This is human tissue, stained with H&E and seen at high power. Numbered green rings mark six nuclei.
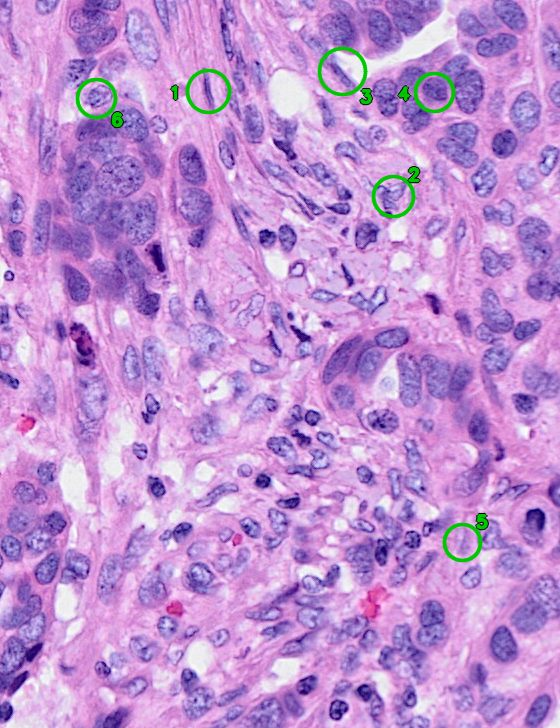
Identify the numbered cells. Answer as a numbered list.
1. fibroblast
2. fibroblast
3. fibroblast
4. carcinoma cell
5. fibroblast
6. macrophage or monocyte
